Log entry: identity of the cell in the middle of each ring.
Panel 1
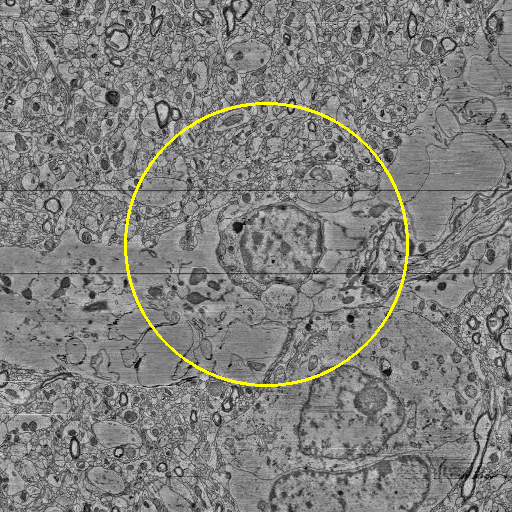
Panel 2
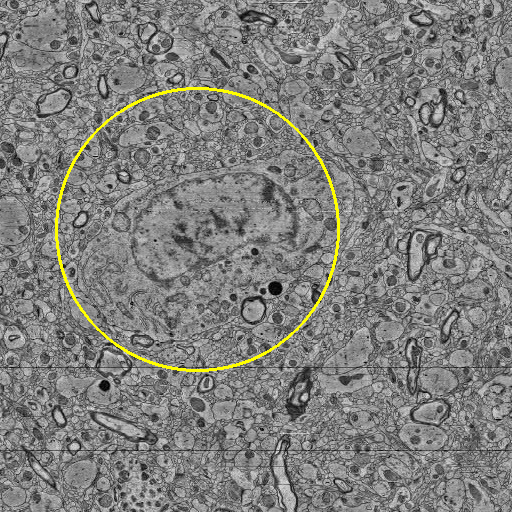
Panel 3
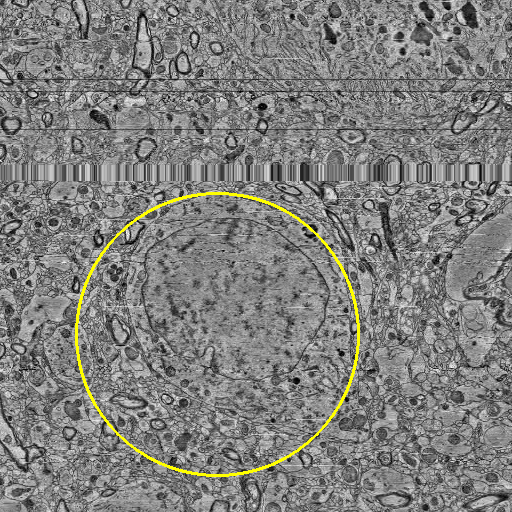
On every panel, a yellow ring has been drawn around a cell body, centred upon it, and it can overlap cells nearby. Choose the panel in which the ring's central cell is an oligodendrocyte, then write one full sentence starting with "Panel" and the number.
Panel 1 shows the requested cell sitting in the middle of its ring.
